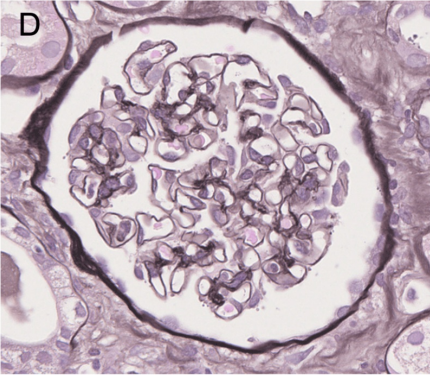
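A single glomerulus seen at high power, with a round tuft of capillary loops inside a capsule outlined by a thick black-staining wall. The capillary loops are open, with thin, even black outlines and dark-stained central stalks. The space between tuft and capsule is clear and unoccupied. Surrounding tubules with black-outlined basement membranes border the capsule.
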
